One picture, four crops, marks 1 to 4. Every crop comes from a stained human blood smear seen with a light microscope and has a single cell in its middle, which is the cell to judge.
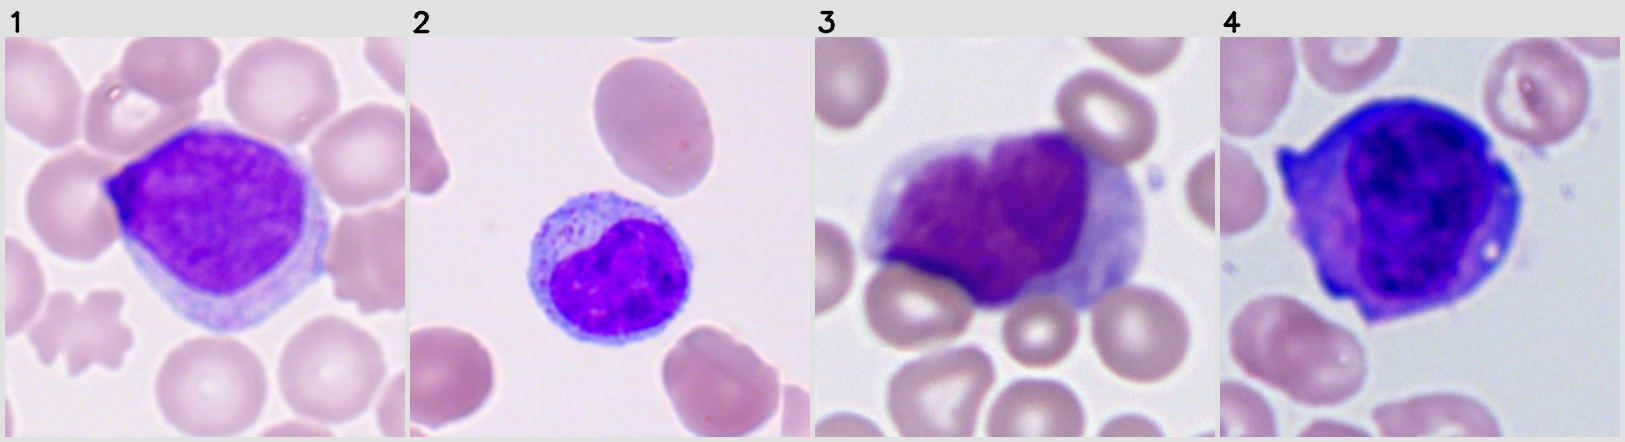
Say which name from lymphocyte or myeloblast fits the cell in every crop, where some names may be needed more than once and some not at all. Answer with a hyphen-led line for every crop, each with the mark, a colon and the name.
- 1: myeloblast
- 2: lymphocyte
- 3: myeloblast
- 4: myeloblast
